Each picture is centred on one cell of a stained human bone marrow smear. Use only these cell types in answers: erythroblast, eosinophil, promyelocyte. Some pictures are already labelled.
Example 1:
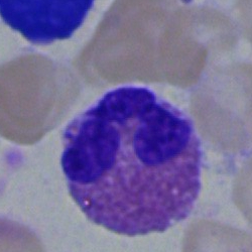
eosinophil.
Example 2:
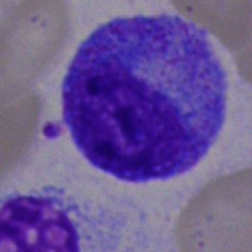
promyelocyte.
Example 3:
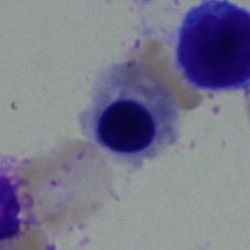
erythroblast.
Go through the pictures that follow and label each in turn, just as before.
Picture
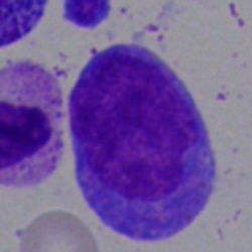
promyelocyte.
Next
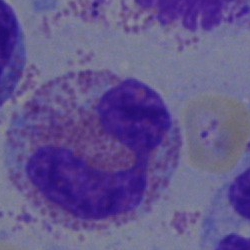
eosinophil.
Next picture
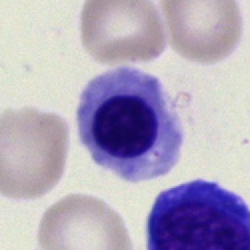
erythroblast.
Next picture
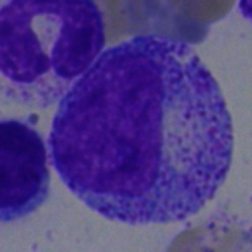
promyelocyte.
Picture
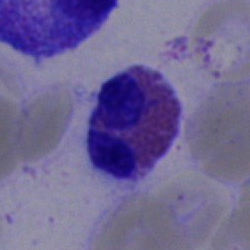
eosinophil.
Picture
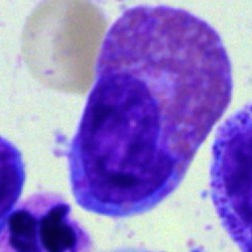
eosinophil.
